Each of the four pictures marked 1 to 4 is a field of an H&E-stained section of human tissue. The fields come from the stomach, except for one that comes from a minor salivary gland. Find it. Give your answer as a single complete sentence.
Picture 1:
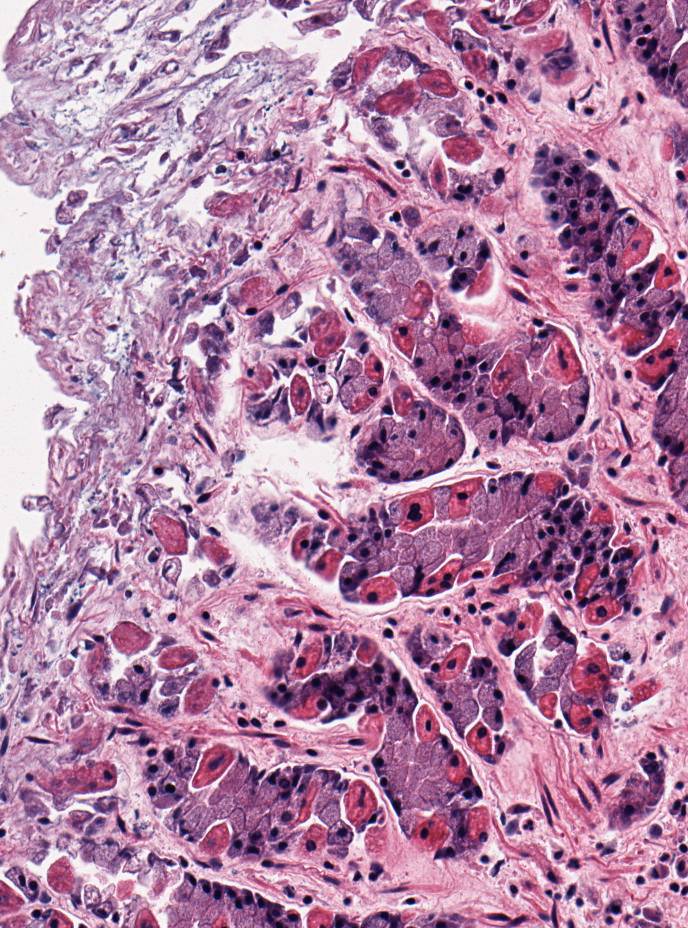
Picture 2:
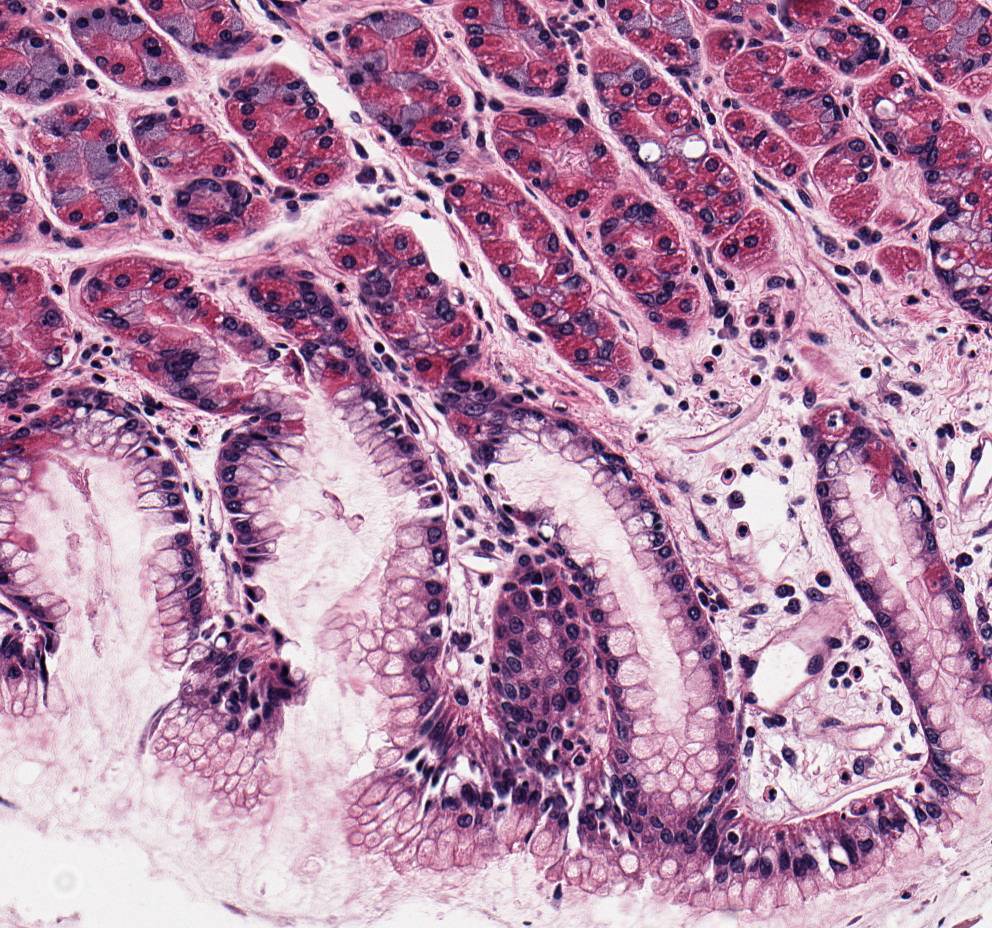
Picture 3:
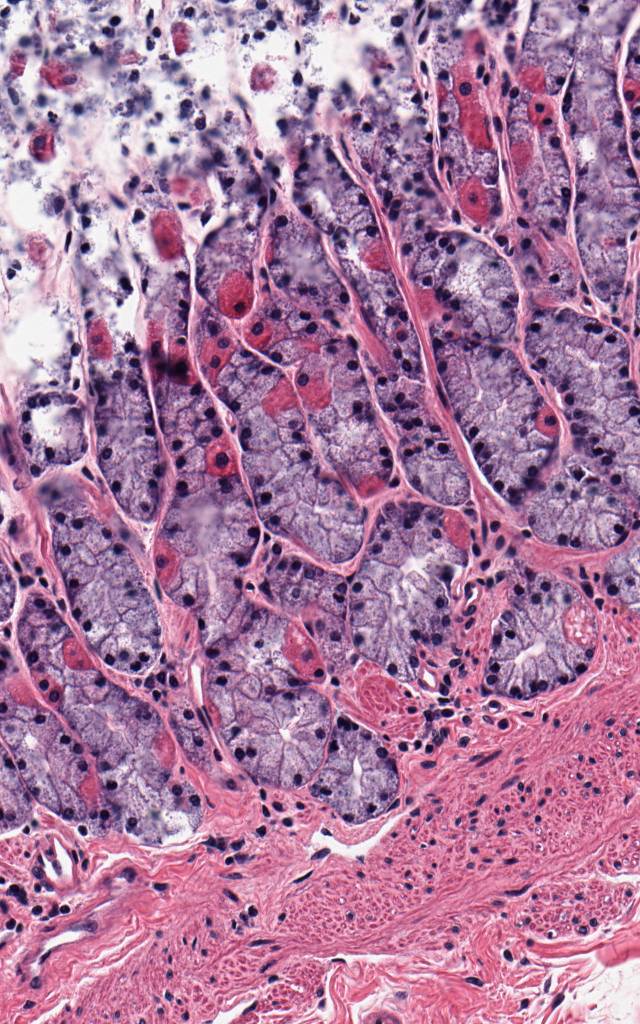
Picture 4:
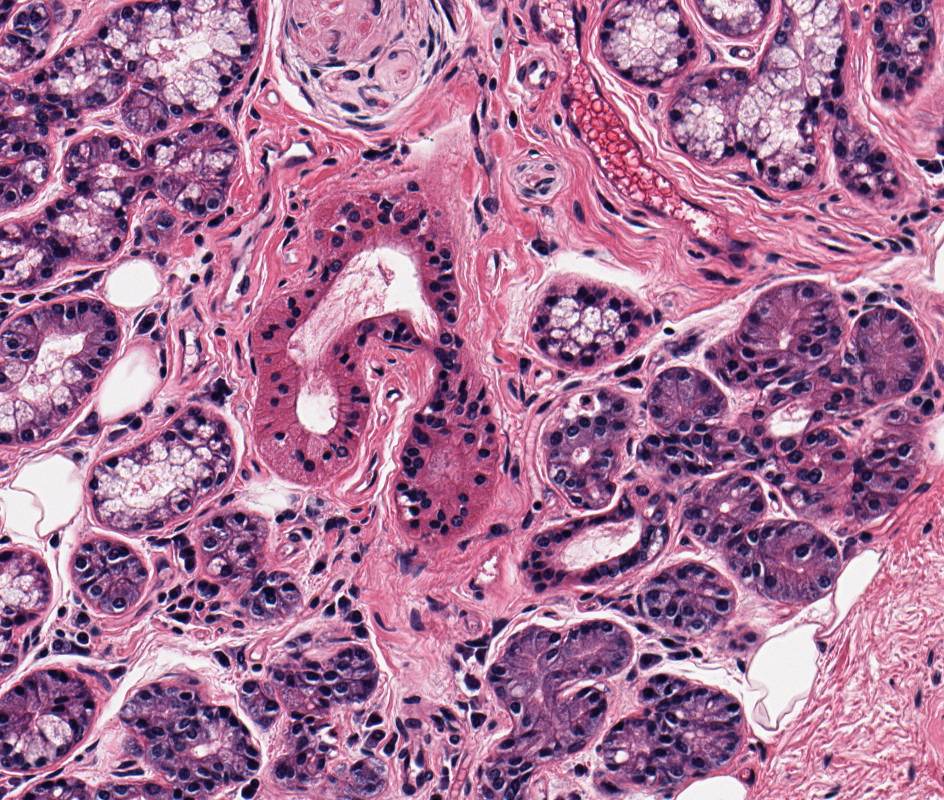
The one that comes from a minor salivary gland is picture 4.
